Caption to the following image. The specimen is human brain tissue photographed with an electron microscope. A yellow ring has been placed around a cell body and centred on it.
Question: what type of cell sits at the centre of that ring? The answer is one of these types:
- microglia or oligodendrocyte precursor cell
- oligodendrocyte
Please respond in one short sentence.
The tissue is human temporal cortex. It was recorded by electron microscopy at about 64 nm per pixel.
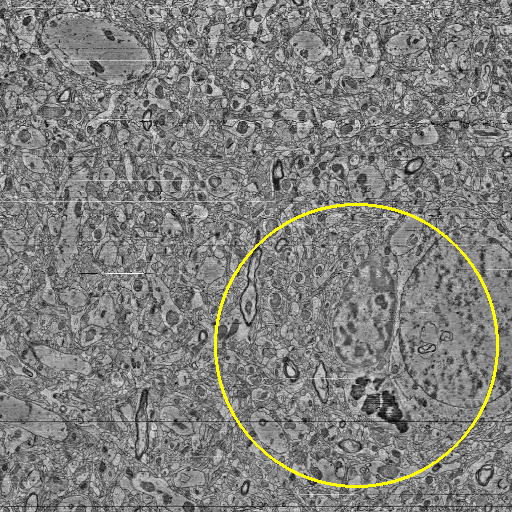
The ring surrounds the cell body of an oligodendrocyte.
